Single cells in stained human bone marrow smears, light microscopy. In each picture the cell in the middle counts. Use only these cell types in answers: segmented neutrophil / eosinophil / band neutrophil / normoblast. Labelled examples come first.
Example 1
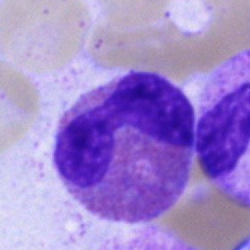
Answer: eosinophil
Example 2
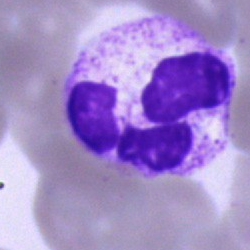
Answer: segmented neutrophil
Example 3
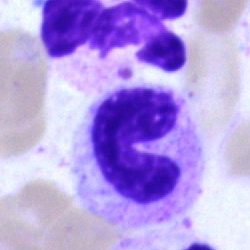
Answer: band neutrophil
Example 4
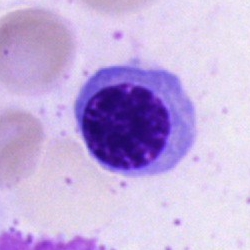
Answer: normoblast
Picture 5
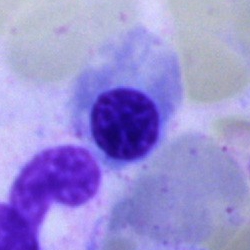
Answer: normoblast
